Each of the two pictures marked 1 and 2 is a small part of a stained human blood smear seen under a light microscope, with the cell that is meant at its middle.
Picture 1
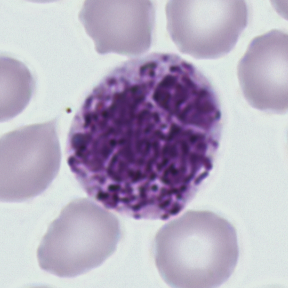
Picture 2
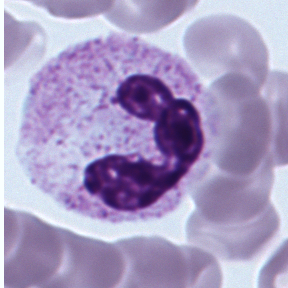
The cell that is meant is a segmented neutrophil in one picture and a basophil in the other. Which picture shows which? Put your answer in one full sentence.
Picture 2 shows a segmented neutrophil, while picture 1 shows a basophil.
